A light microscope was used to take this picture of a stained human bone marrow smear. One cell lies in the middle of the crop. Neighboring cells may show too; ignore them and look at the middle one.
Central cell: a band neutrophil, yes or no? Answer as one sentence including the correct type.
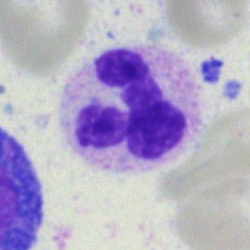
No, the central cell is a segmented neutrophil, not a band neutrophil.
